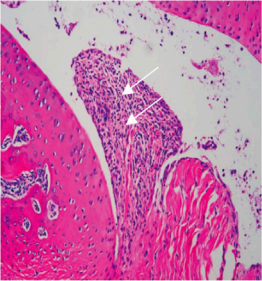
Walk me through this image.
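A tongue of soft tissue projects into the pale joint space, and it is packed with small, round, dark purple nuclei lying close together, far more crowded than anywhere else in the field. On both sides lie broad areas of bright pink, dense matrix, the hard tissues of the joint, with only scattered cells. At the bottom right the pink matrix becomes streaky and fibrous. Loose strands and a few cells also float in the clear space above.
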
